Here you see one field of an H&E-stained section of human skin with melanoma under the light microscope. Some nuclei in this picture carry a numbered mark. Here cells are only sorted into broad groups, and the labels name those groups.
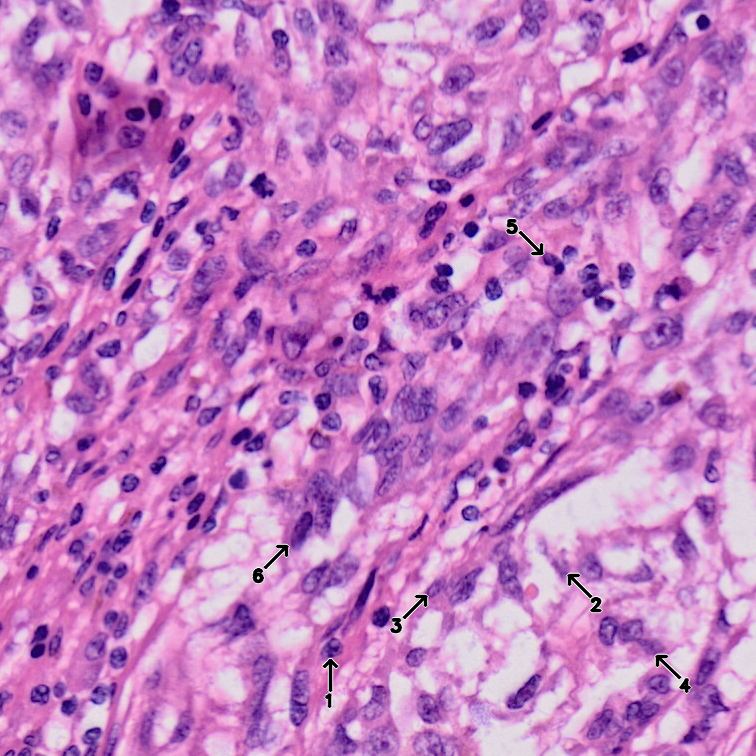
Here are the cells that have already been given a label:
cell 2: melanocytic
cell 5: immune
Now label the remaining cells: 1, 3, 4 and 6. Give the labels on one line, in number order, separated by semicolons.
immune; melanocytic; melanocytic; melanocytic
